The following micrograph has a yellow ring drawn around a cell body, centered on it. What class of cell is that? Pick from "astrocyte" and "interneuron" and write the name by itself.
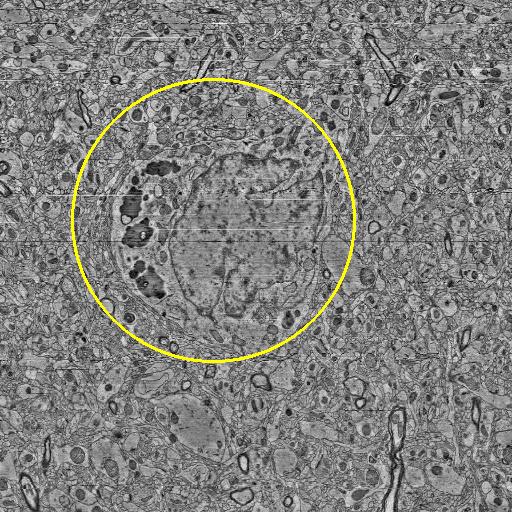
interneuron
